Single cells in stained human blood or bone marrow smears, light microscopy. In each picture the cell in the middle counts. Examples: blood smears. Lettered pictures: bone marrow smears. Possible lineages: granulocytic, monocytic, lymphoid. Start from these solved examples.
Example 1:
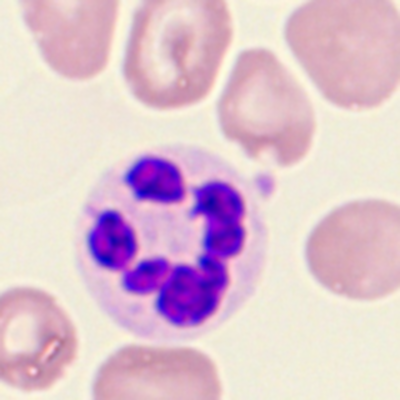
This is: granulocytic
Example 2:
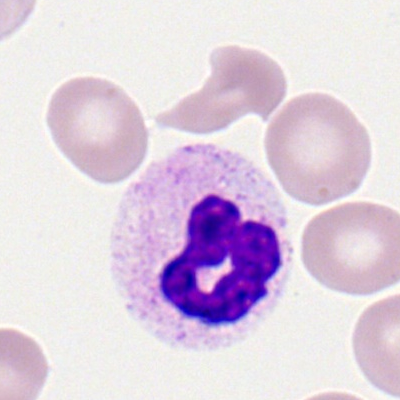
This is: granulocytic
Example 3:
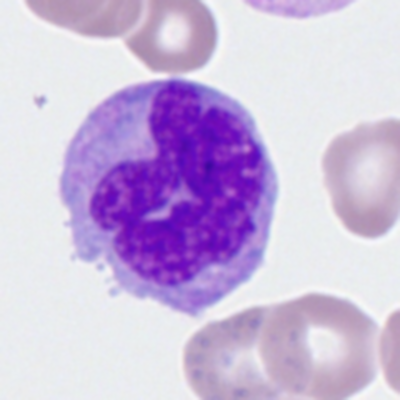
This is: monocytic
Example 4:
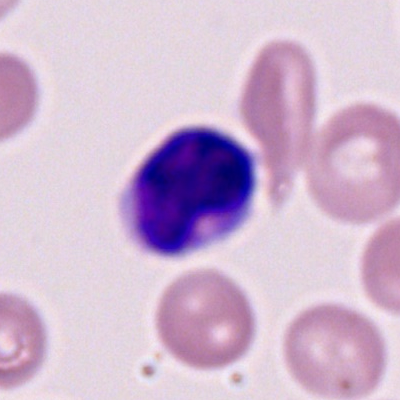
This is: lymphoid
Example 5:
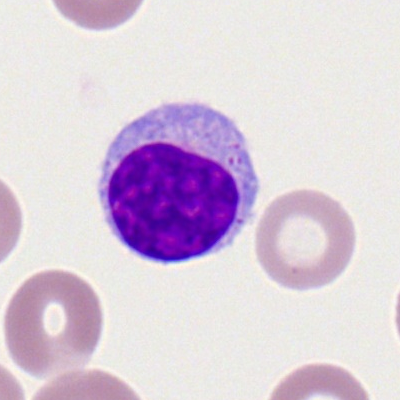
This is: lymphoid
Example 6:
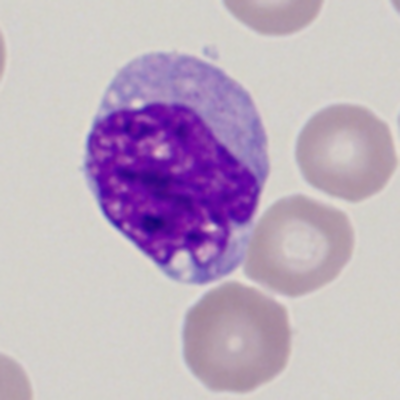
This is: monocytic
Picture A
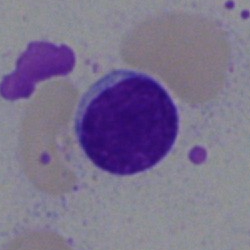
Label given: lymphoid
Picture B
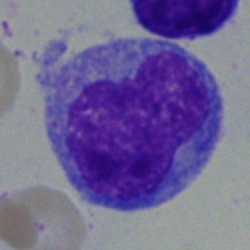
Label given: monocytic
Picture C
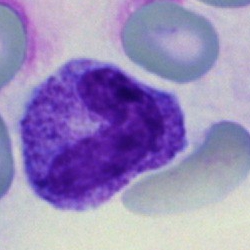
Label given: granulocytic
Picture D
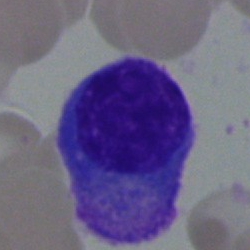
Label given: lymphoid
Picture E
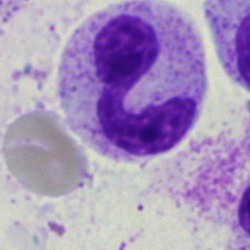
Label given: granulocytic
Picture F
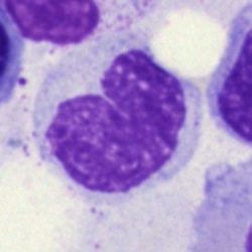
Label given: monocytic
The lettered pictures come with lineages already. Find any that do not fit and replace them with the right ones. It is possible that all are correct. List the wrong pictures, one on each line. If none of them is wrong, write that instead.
Every label is right.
